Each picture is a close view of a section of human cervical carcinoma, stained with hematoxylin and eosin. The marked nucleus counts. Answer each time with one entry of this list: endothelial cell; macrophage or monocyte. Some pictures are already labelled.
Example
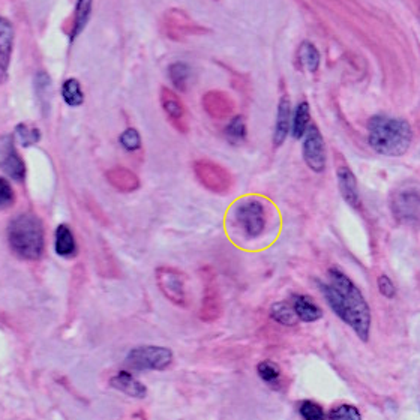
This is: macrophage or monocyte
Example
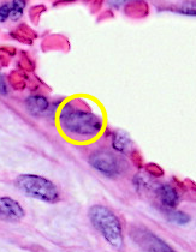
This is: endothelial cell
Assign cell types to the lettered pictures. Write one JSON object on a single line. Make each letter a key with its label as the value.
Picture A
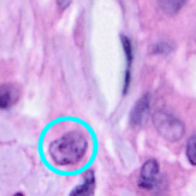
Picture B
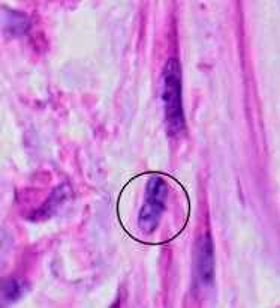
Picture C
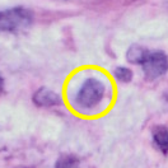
{"A": "macrophage or monocyte", "B": "macrophage or monocyte", "C": "macrophage or monocyte"}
